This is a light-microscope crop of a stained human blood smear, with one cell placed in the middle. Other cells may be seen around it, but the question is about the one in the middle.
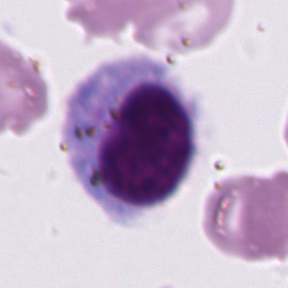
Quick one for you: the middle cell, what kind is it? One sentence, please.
The middle cell in this particular crop is a hairy cell.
